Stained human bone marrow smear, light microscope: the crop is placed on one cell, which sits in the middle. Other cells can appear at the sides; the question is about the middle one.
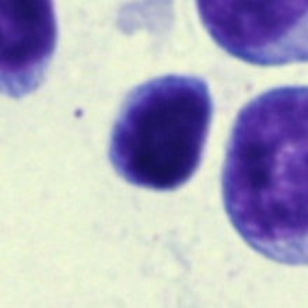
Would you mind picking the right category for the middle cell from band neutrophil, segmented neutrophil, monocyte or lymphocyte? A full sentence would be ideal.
Classified as a lymphocyte is the cell in the middle of this crop.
